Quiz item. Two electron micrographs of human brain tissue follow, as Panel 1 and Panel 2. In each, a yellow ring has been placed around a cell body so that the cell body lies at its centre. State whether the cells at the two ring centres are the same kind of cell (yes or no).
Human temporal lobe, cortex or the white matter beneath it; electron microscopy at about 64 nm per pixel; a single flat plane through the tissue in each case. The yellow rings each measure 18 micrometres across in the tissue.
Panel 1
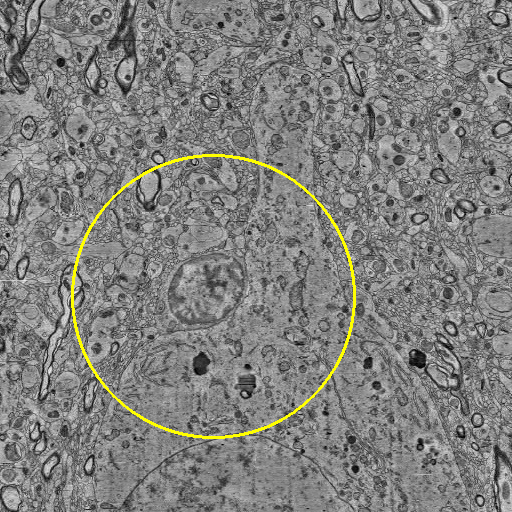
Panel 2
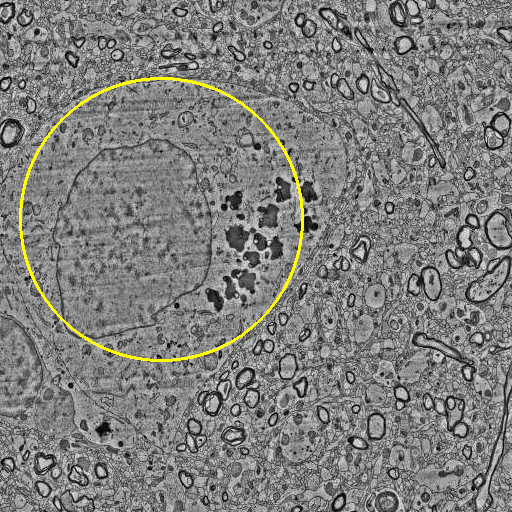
no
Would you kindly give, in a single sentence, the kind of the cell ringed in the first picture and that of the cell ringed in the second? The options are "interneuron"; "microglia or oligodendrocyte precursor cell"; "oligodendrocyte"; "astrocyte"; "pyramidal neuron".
The second cell is a pyramidal neuron, and the first cell is an oligodendrocyte.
